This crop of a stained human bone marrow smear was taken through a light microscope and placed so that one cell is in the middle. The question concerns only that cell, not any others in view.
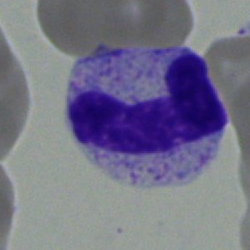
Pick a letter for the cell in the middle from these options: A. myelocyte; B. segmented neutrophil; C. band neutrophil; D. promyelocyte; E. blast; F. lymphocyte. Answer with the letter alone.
C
